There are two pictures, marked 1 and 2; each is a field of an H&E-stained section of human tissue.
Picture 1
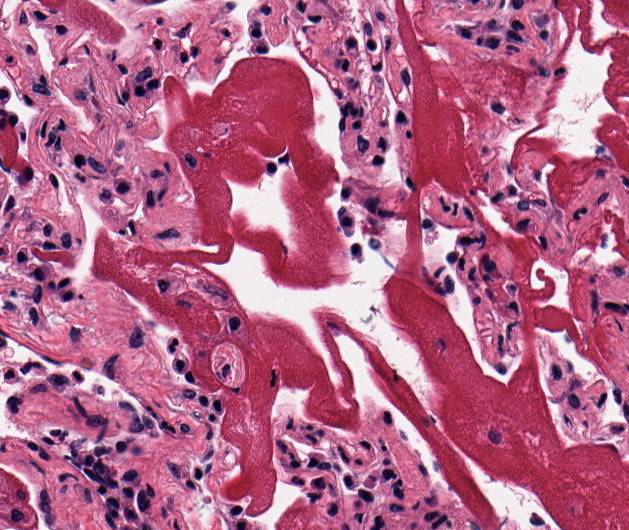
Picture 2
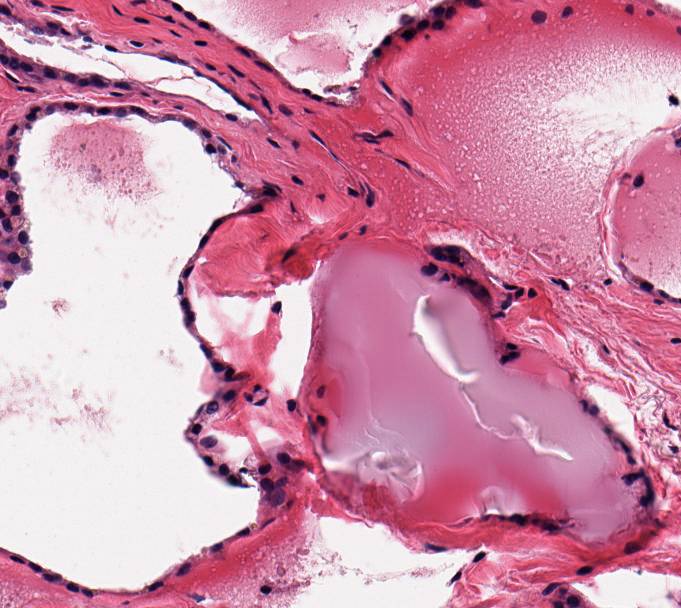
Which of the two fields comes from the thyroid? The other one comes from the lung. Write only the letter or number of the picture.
2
